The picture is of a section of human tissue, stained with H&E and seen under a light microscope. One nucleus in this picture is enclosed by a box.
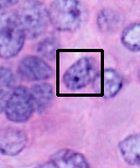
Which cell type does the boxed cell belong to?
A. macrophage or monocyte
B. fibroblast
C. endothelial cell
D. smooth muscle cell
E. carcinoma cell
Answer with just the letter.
A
